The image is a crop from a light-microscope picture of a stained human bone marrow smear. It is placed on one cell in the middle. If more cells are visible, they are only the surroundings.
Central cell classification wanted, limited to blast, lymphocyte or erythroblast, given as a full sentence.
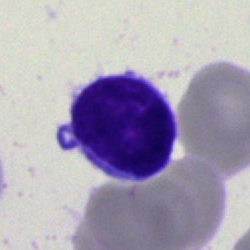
The cell under consideration, at the middle of the crop, is a lymphocyte.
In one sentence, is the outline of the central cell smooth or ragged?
An irregular outline, ragged or marked by projections, surrounds this cell.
